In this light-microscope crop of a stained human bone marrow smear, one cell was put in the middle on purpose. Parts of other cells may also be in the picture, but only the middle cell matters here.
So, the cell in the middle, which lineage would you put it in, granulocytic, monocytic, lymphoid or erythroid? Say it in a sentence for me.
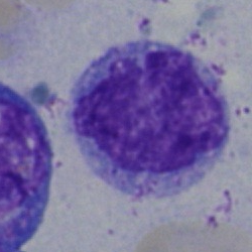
The lineage represented by the central cell is monocytic.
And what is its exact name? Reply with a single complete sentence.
The cell at the centre of the field is a monocyte.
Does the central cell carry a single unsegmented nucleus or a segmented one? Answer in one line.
Its nucleus is compact and single, with a round, oval or kidney-shaped form.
